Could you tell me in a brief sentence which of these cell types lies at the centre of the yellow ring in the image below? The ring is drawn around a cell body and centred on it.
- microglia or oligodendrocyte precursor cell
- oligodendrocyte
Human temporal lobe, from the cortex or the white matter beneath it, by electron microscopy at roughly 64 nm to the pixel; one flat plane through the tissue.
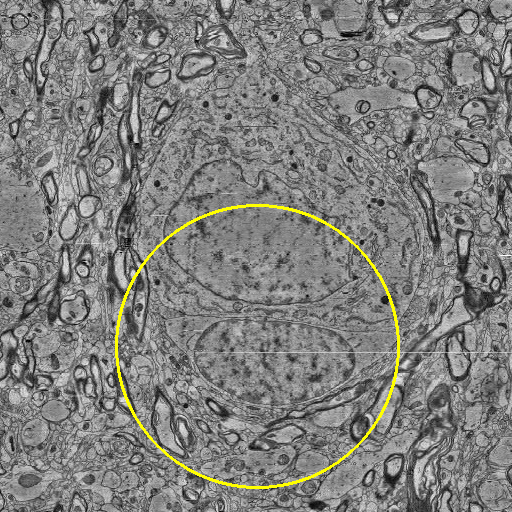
The cell centred in the ring is a microglial cell or oligodendrocyte precursor cell.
